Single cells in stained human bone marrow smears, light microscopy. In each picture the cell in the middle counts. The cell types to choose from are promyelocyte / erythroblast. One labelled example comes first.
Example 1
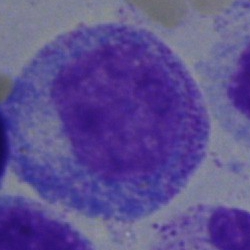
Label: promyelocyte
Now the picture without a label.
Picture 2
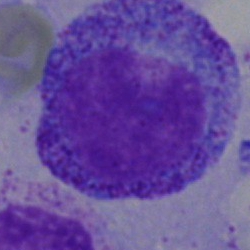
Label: promyelocyte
